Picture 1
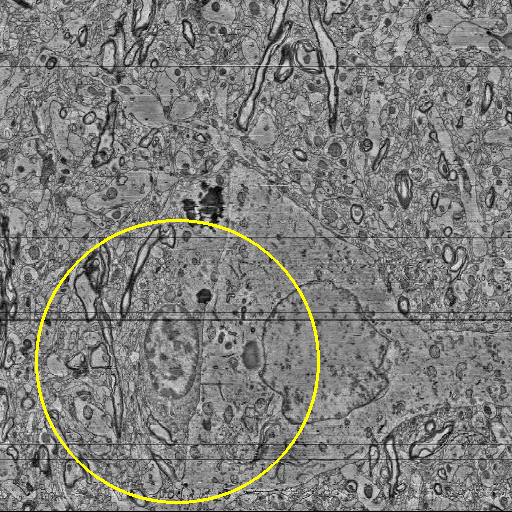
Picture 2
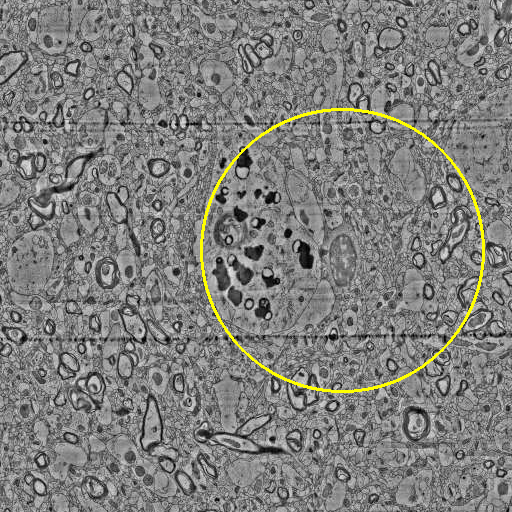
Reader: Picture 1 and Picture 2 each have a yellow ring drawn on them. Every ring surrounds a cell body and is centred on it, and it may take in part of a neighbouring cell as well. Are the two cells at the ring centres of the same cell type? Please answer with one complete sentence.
Yes, both cells are of the same cell type.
